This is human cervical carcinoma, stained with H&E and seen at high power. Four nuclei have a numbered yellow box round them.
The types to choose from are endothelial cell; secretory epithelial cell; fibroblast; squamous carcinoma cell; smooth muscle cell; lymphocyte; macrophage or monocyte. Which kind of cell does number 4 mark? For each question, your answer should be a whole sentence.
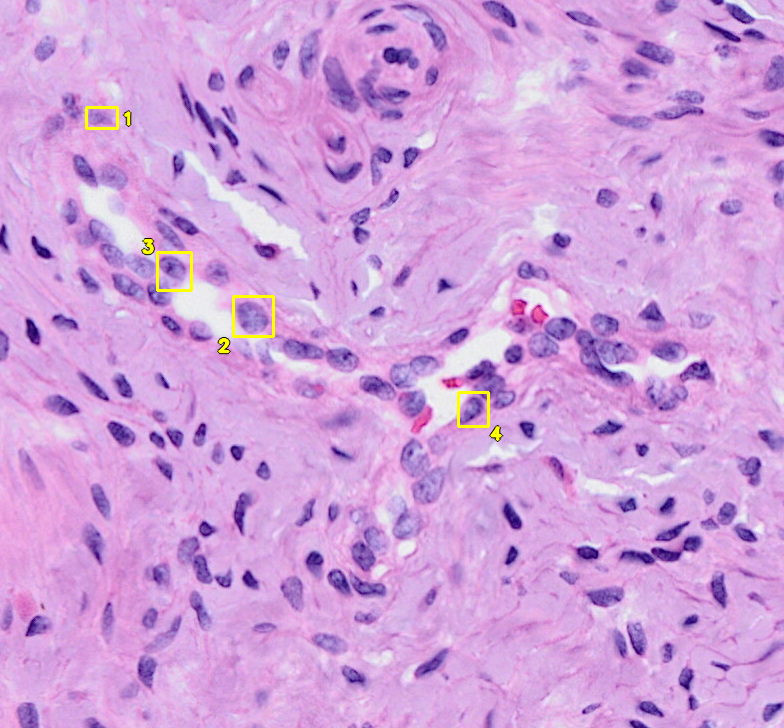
The numeral 4 marks an endothelial cell in this section.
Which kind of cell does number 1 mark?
The cell marked with the number 1 is a smooth muscle cell.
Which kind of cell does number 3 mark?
Here the cell numbered 3 is an endothelial cell.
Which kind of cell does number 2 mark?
The cell tagged with 2 in this tissue section is an endothelial cell.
